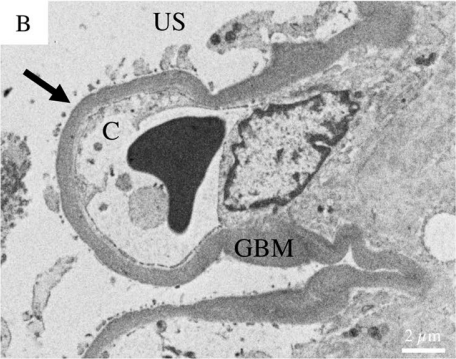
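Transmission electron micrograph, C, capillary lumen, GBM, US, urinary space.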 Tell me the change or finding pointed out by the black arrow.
Denudation.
